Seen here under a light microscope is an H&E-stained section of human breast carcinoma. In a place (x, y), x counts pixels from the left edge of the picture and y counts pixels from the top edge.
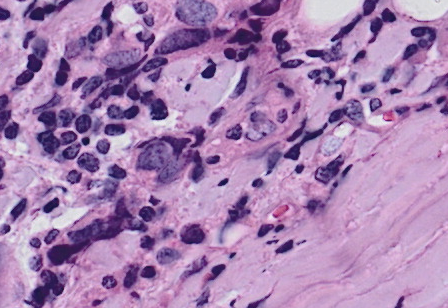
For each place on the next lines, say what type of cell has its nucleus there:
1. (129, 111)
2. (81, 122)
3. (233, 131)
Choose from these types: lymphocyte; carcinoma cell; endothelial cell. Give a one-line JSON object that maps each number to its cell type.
{"1": "lymphocyte", "2": "lymphocyte", "3": "endothelial cell"}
